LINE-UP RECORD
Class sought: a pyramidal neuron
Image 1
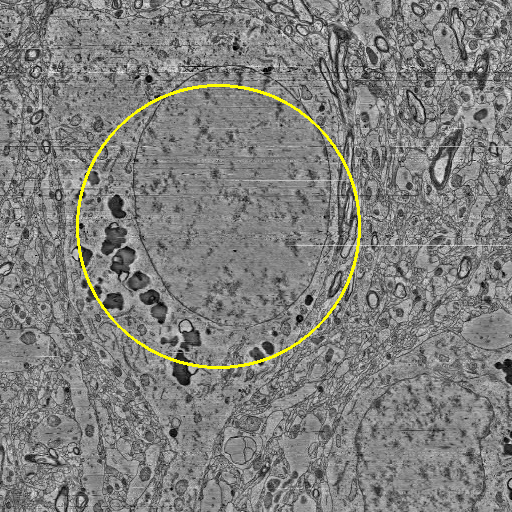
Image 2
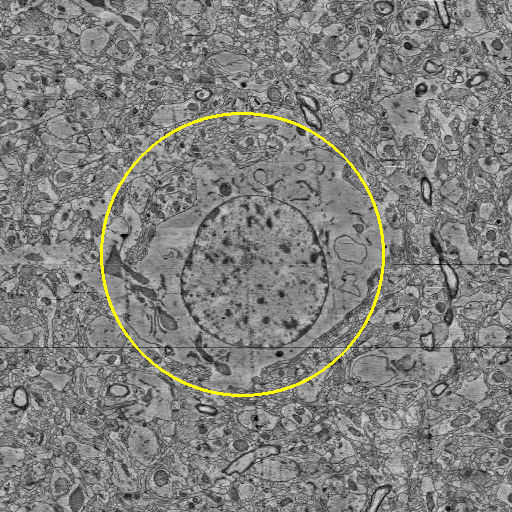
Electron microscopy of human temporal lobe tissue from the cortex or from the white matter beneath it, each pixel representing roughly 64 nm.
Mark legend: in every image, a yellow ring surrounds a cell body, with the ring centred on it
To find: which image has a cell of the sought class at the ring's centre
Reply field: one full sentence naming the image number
The ring-centred cell of image 1 belongs to the class sought.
